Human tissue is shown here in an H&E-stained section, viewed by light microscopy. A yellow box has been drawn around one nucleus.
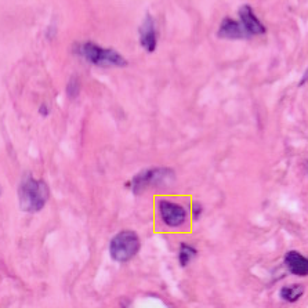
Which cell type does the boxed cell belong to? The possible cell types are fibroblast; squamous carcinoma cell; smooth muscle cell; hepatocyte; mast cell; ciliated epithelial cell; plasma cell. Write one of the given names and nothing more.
mast cell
